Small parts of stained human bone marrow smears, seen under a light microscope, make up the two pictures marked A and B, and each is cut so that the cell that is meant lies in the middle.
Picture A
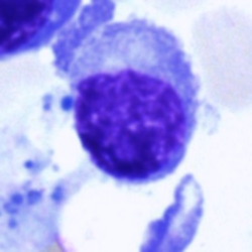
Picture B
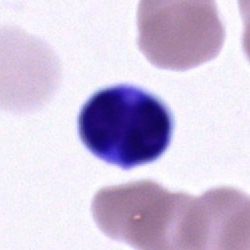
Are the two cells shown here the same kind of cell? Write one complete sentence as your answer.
Yes, both are lymphocytes.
